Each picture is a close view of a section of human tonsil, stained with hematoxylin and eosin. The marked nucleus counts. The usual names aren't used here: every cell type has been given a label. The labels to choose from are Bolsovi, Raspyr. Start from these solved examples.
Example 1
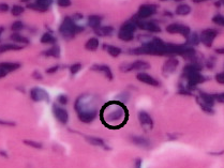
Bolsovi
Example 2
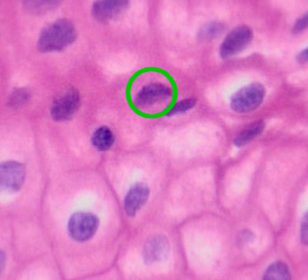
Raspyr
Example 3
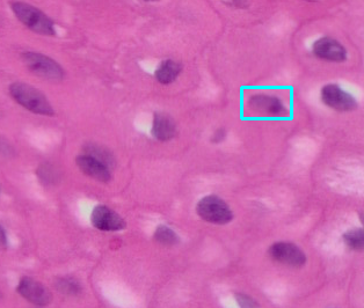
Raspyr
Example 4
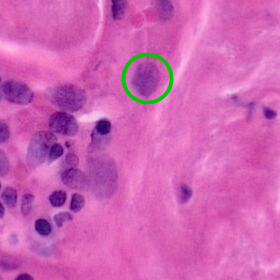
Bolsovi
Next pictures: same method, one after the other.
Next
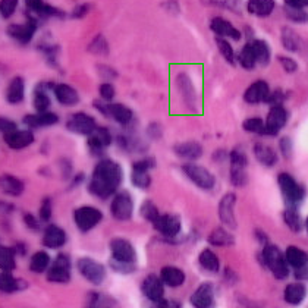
Bolsovi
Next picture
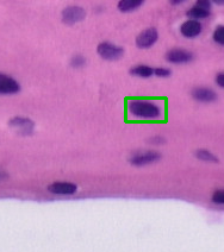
Raspyr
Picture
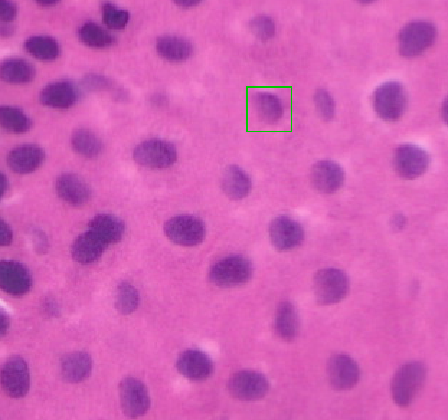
Raspyr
